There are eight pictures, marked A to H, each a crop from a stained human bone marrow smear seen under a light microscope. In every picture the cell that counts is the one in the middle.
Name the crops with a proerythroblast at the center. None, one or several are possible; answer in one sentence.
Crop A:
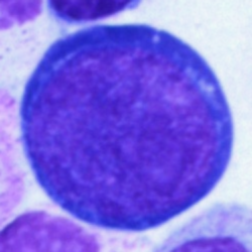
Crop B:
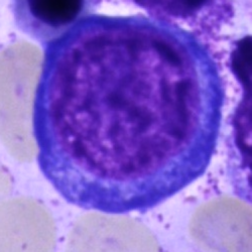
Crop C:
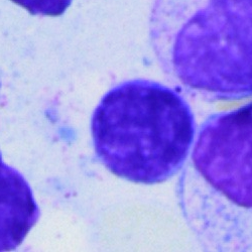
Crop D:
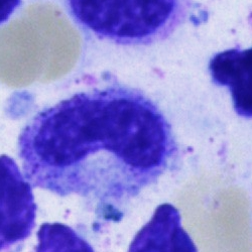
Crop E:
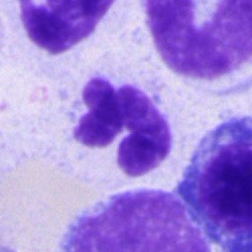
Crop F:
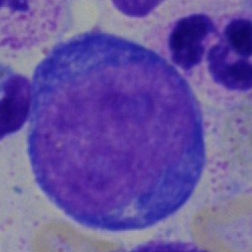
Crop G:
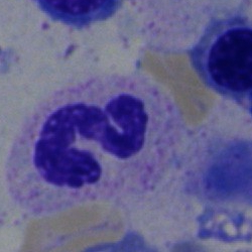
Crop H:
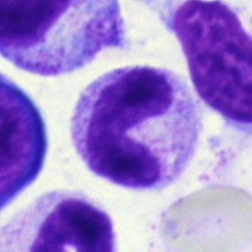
The crops A, B and F are those with proerythroblasts at the centre.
